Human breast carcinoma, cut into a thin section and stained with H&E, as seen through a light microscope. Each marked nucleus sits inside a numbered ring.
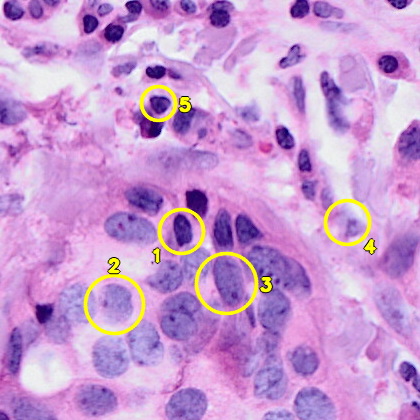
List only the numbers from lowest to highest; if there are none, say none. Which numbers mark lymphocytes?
5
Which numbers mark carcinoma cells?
1, 2, 3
